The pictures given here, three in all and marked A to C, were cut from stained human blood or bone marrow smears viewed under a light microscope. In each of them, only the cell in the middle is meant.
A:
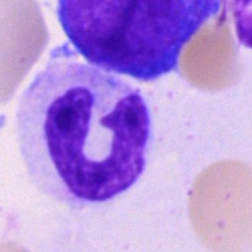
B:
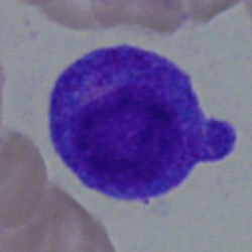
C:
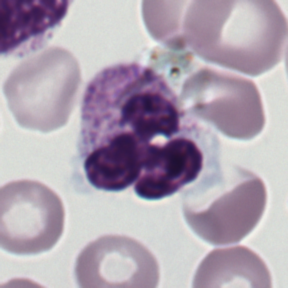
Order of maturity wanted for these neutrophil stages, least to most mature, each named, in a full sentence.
Maturation proceeds in the order crop B (a promyelocyte), crop A (a band neutrophil) and crop C (a segmented neutrophil).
